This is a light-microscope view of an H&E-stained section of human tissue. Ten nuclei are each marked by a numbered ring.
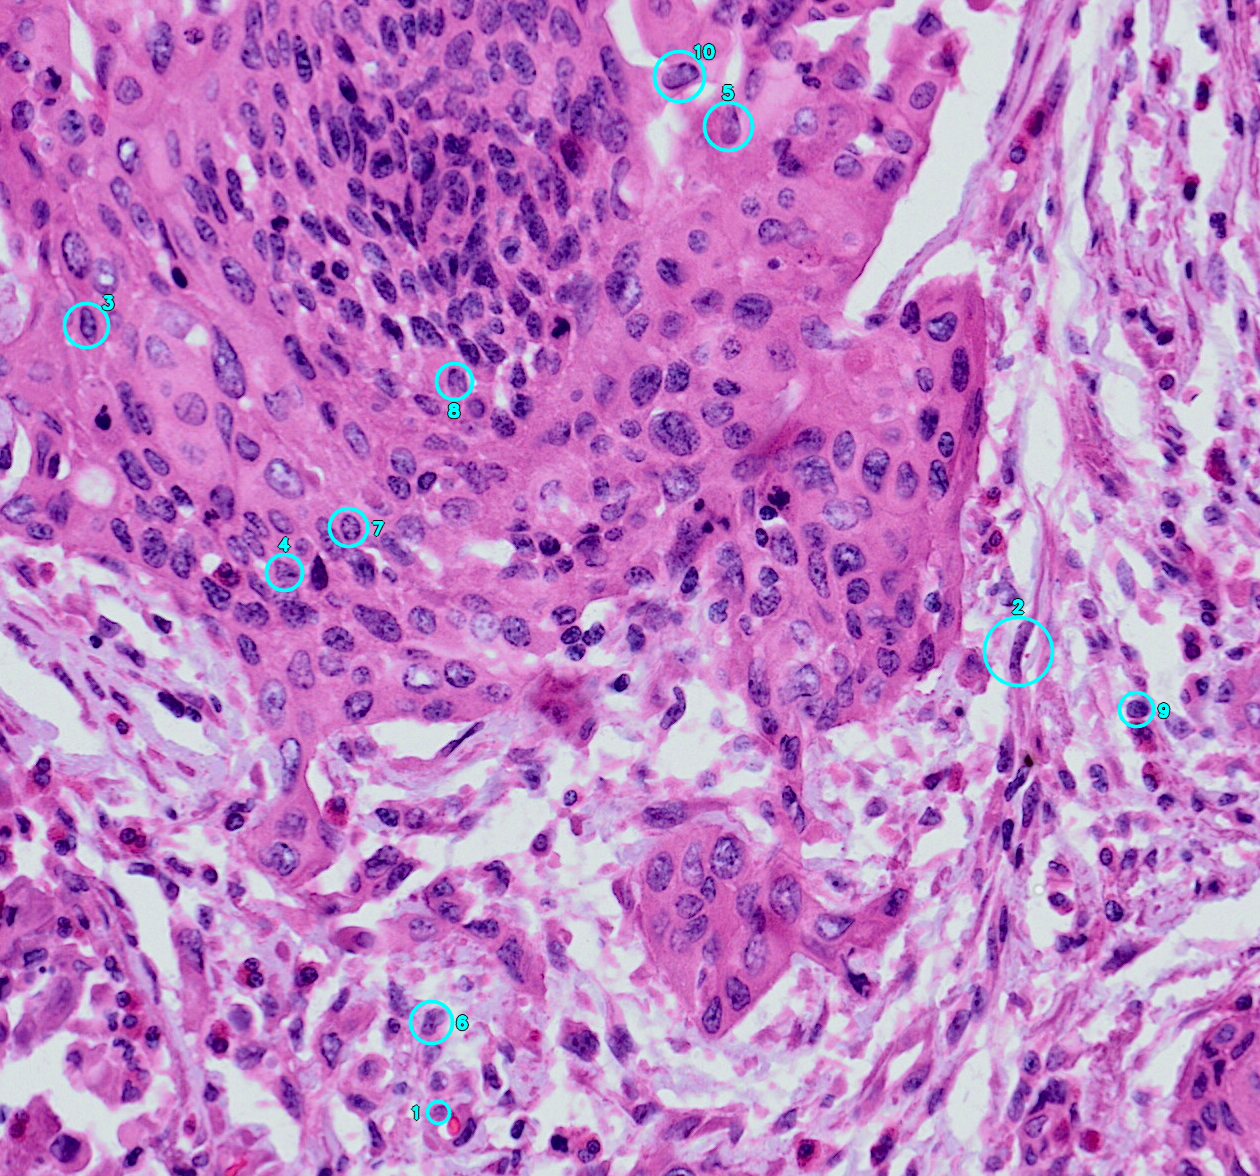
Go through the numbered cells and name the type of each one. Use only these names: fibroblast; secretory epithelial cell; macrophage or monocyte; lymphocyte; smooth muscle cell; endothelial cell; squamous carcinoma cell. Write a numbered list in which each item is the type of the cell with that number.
1. endothelial cell
2. fibroblast
3. squamous carcinoma cell
4. squamous carcinoma cell
5. squamous carcinoma cell
6. macrophage or monocyte
7. squamous carcinoma cell
8. squamous carcinoma cell
9. lymphocyte
10. squamous carcinoma cell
